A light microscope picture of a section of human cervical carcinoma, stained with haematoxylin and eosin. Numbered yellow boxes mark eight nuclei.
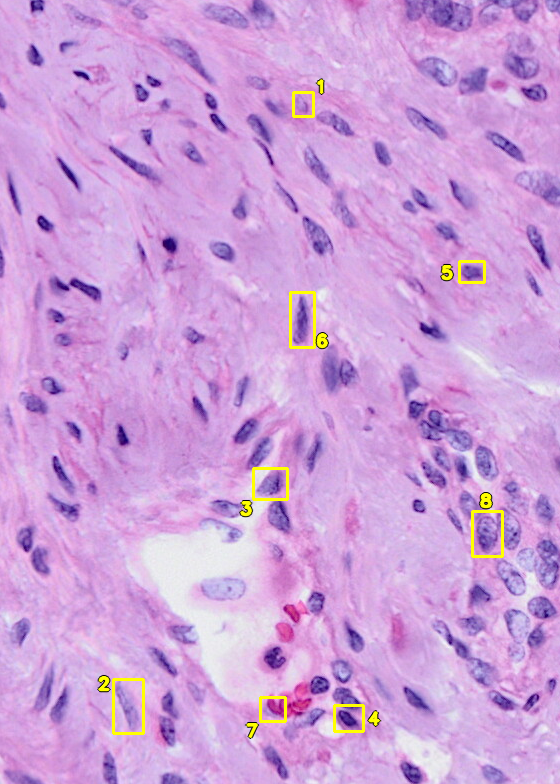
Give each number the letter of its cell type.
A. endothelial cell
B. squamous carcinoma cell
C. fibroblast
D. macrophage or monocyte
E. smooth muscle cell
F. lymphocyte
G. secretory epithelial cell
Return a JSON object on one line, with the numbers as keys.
{"1": "E", "2": "C", "3": "A", "4": "A", "5": "E", "6": "C", "7": "A", "8": "A"}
